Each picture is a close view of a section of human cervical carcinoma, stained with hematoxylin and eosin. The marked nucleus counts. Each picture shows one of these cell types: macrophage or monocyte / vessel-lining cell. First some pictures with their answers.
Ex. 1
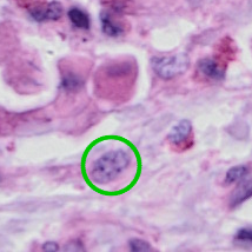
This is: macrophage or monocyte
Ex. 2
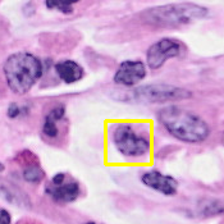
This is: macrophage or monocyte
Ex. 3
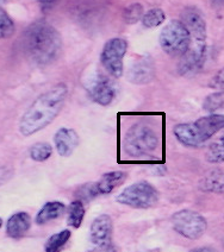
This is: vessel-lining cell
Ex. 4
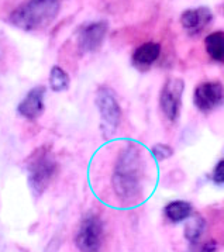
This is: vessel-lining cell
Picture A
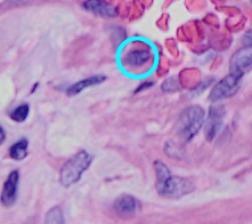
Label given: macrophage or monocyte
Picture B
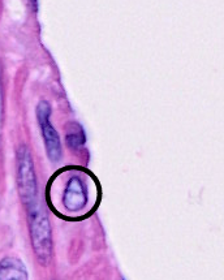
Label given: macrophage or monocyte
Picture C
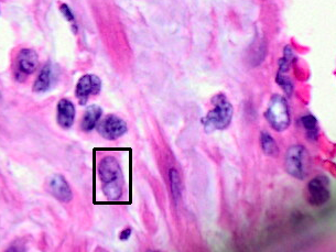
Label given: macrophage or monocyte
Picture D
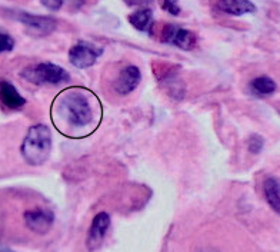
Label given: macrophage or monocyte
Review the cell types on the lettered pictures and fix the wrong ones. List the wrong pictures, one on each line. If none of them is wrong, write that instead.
A: vessel-lining cell, not macrophage or monocyte
B: vessel-lining cell, not macrophage or monocyte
